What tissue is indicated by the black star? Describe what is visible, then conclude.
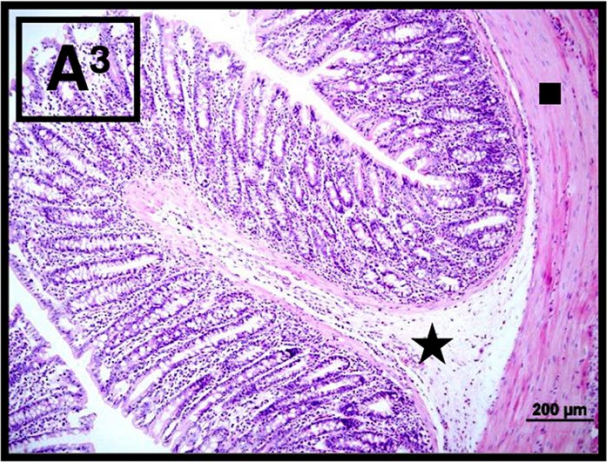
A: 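Submucosal layer. The star lies in a pale, loosely textured layer between the glandular mucosa and the pink muscle band. This layer has few scattered nuclei.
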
